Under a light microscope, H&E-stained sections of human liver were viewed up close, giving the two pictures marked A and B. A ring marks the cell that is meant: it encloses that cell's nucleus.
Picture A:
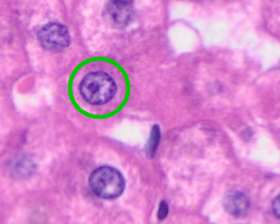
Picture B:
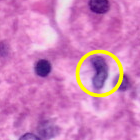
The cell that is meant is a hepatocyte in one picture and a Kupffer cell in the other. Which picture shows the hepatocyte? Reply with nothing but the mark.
A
